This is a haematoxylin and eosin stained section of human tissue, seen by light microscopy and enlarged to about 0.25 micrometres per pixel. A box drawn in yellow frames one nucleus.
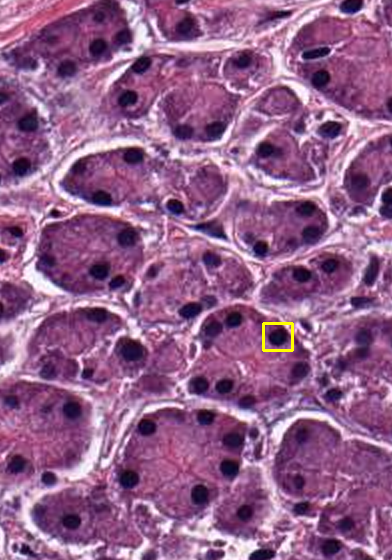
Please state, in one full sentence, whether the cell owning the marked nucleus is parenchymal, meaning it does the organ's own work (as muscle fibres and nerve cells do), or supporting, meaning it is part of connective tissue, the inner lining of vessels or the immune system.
Within a parenchymal cell, namely a pancreatic acinar cell, sits the marked nucleus.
